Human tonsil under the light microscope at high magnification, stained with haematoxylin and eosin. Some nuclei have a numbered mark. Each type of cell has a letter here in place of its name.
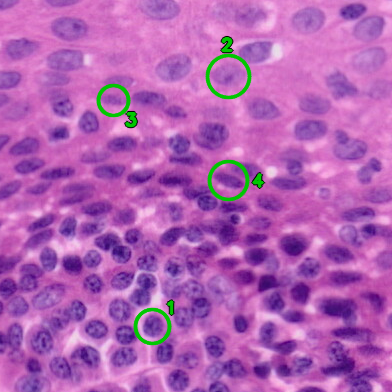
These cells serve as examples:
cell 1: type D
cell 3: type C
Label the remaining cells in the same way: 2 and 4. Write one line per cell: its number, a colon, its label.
2: type C
4: type C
